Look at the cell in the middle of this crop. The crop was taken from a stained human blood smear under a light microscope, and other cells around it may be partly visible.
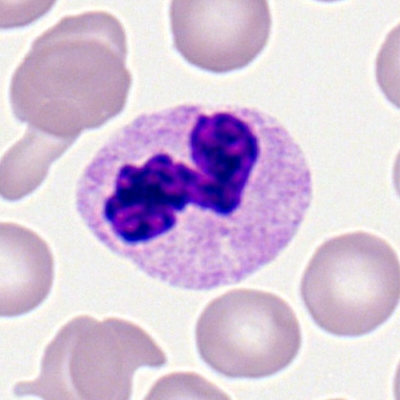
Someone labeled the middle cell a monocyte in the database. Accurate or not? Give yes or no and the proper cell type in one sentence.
No, the cell in the middle is a neutrophil; it is not a monocyte.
